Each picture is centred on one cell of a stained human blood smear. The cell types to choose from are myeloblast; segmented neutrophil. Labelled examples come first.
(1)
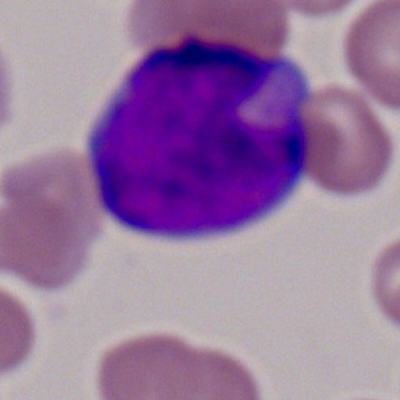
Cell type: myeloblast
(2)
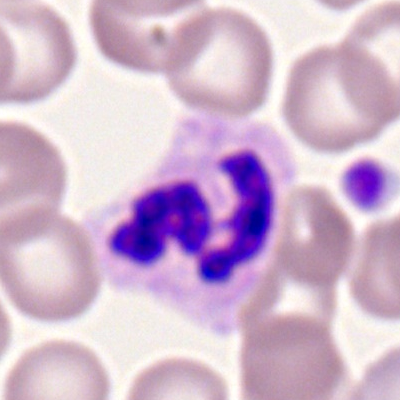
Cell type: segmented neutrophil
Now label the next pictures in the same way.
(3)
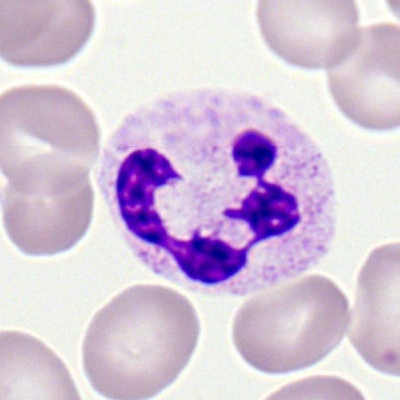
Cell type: segmented neutrophil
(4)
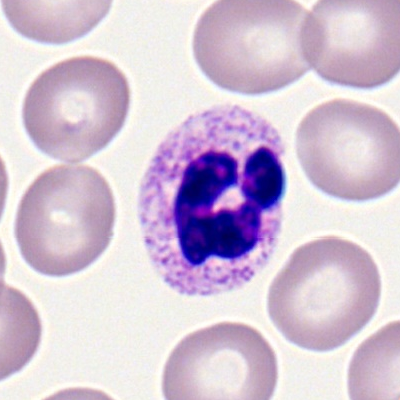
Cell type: segmented neutrophil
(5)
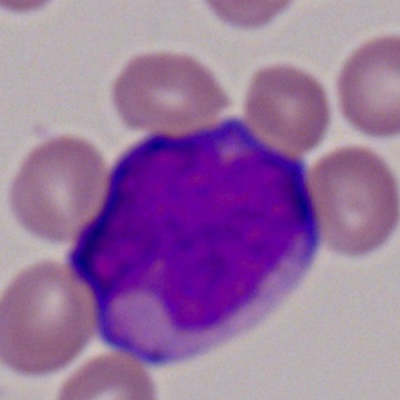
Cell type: myeloblast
